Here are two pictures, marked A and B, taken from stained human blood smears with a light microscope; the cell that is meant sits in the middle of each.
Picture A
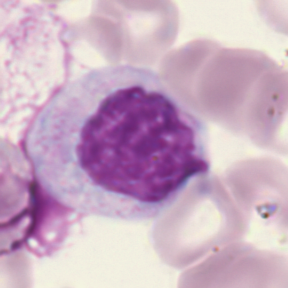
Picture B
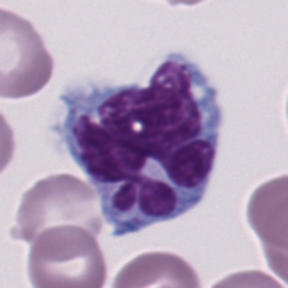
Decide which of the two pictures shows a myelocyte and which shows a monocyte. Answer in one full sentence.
Picture B shows a monocyte, while picture A shows a myelocyte.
